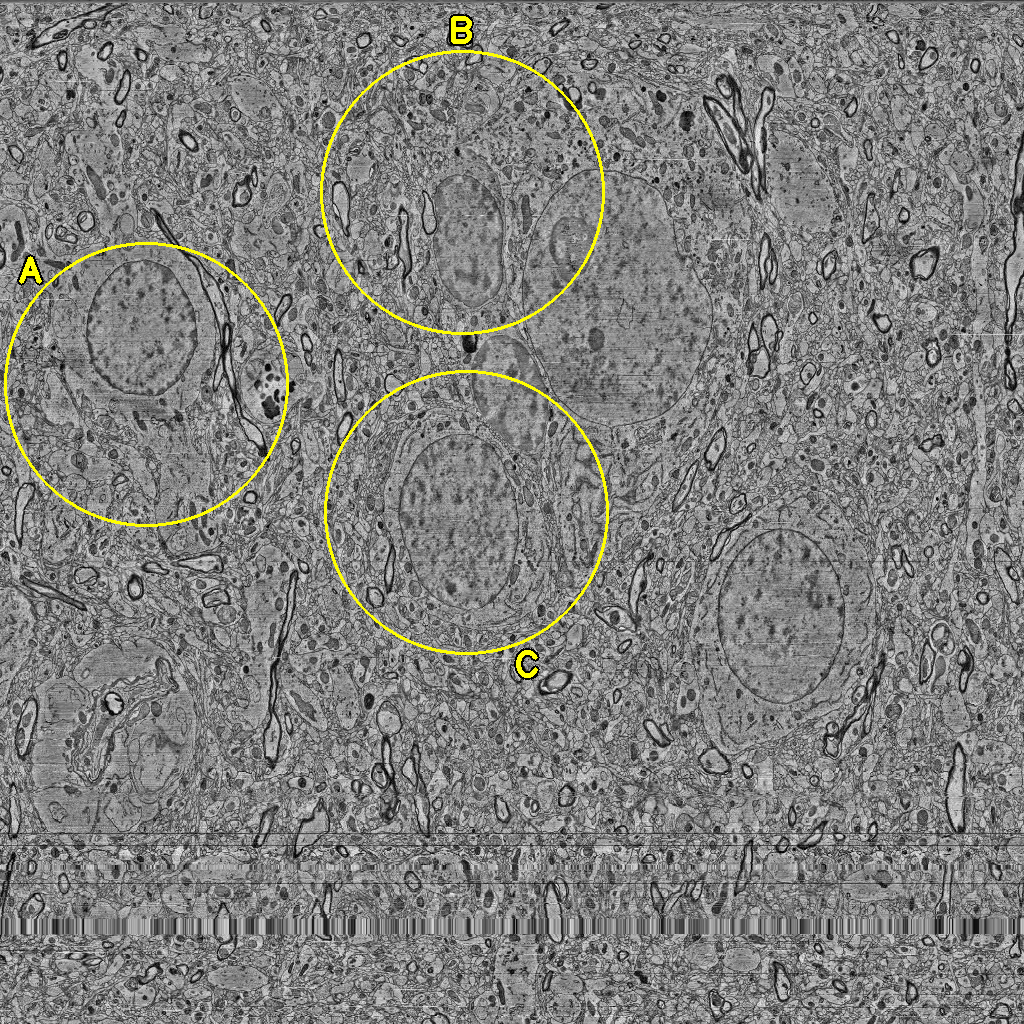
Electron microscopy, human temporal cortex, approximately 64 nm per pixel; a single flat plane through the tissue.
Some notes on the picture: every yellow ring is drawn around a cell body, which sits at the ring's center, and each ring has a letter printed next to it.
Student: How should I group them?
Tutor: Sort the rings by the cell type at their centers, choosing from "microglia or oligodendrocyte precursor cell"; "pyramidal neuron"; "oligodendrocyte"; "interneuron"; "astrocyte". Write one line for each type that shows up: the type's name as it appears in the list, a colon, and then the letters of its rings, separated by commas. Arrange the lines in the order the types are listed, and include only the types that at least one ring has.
oligodendrocyte: B
interneuron: C
astrocyte: A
